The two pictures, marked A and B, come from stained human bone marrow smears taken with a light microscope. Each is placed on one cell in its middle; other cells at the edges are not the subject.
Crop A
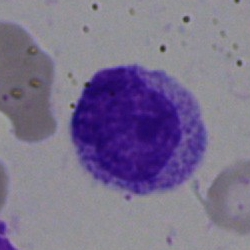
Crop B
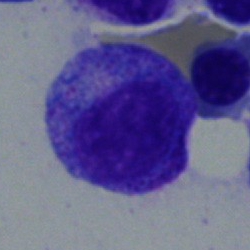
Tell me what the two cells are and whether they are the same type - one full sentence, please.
Yes, in both crops, myelocytes are the cells at the middle.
